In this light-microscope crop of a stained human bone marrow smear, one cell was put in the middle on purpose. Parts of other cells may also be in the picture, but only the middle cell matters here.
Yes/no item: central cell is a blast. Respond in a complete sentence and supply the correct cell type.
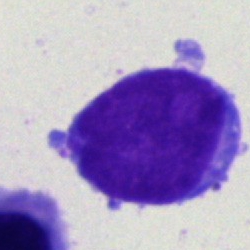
Yes, it is a blast that lies in the middle.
